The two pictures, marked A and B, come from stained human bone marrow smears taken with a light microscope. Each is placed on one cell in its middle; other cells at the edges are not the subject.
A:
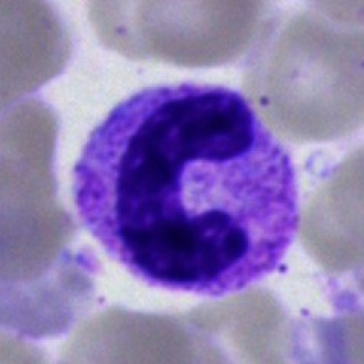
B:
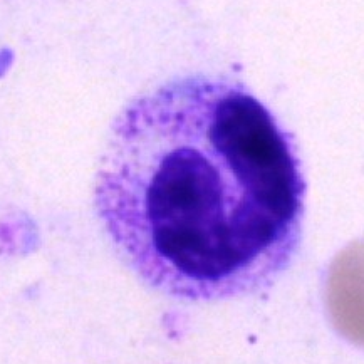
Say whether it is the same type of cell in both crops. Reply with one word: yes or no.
yes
